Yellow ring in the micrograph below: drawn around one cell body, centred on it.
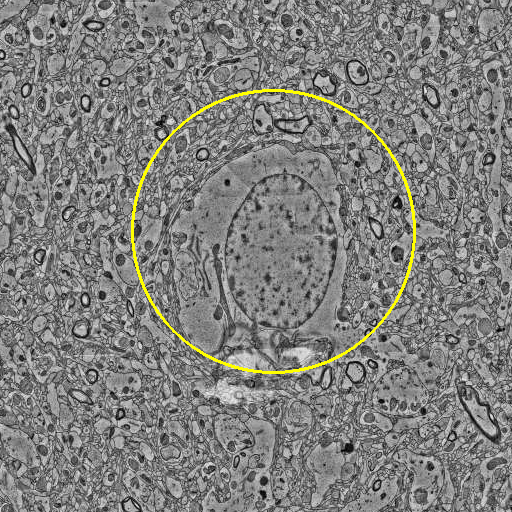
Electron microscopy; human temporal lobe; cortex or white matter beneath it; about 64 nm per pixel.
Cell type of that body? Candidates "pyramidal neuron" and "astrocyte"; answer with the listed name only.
astrocyte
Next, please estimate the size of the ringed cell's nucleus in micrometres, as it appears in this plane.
About 10 by 7 micrometres in this plane.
